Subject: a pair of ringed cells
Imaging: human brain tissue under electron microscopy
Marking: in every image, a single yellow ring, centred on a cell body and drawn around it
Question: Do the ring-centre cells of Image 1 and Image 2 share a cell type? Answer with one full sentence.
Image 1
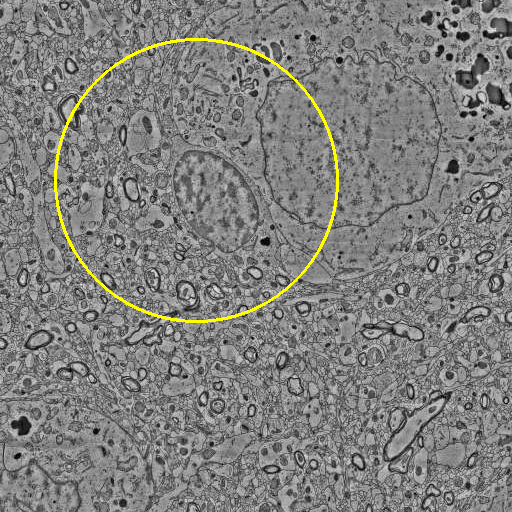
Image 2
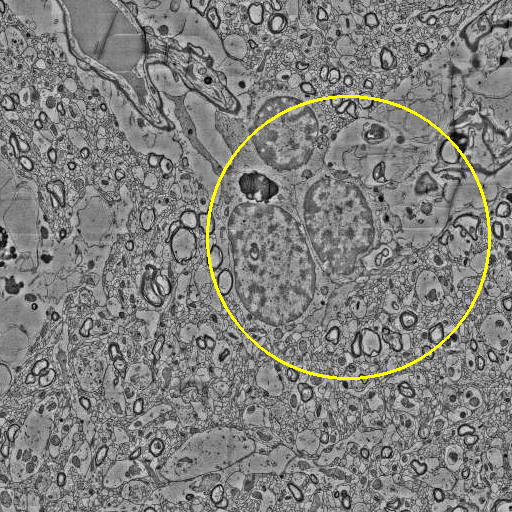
Yes, at each ring's centre in the images sits a cell of one common type.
